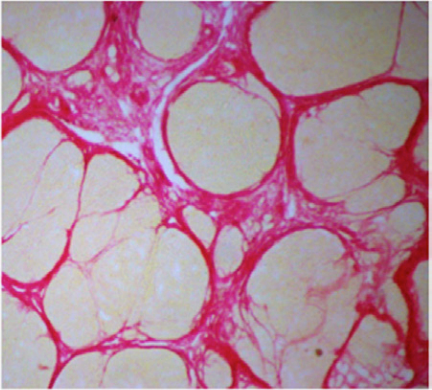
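This low-power section of liver shows the parenchyma broken up into rounded yellow islands of varying size. The normal lobular architecture is replaced by this nodular pattern, a profound architectural distortion.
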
